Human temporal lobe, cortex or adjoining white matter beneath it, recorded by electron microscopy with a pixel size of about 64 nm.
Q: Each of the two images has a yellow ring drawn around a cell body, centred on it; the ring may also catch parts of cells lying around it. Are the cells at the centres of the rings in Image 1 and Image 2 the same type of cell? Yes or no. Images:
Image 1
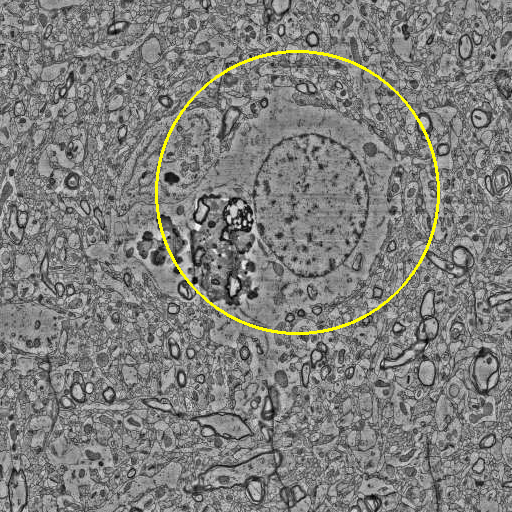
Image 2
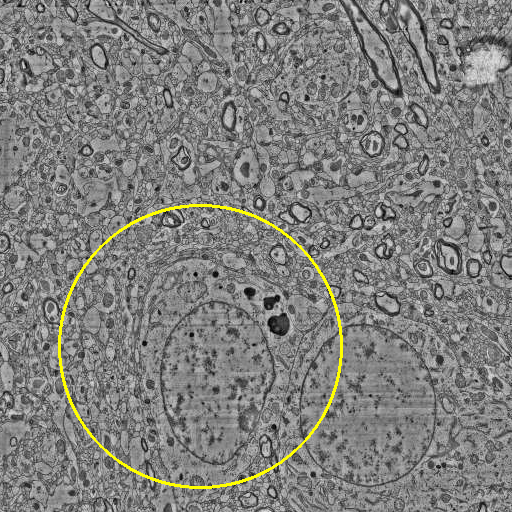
no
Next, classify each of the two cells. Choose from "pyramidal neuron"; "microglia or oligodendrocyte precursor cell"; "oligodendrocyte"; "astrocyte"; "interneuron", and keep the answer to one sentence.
In the first picture it is a microglial cell or oligodendrocyte precursor cell; in the second it is a pyramidal neuron.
